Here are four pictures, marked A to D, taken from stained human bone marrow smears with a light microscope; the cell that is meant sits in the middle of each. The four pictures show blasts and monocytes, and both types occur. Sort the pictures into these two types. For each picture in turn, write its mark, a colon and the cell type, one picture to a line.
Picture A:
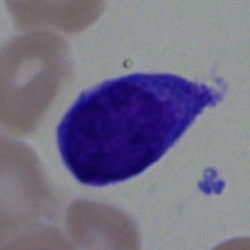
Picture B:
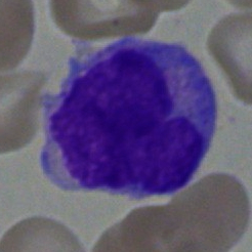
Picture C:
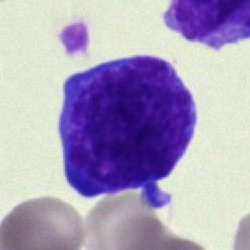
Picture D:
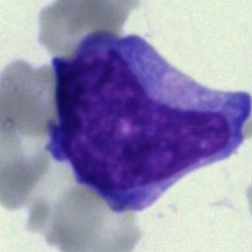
A: blast
B: monocyte
C: blast
D: blast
